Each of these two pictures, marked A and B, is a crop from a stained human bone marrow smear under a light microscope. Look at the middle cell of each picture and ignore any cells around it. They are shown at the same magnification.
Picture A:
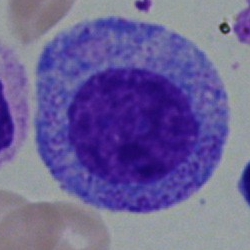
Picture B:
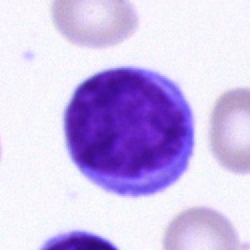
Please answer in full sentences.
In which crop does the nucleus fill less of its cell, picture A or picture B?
The nucleus fills less of the cell in picture A than in picture B.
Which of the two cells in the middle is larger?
It is the cell in picture A, about 2 times as large in area as the cell in picture B.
